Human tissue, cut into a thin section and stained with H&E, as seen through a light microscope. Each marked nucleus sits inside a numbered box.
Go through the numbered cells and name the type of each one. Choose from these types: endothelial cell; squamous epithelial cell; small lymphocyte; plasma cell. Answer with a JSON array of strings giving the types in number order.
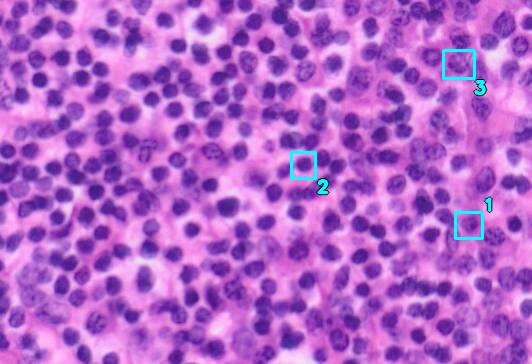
["plasma cell", "small lymphocyte", "plasma cell"]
